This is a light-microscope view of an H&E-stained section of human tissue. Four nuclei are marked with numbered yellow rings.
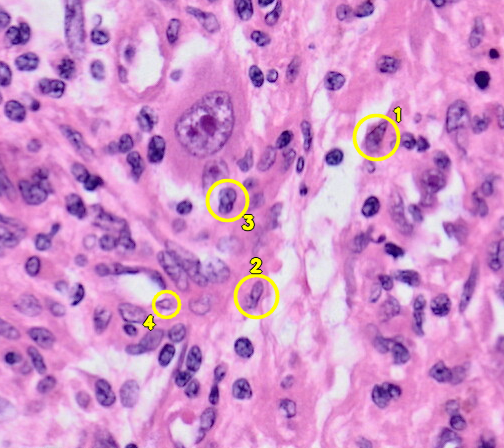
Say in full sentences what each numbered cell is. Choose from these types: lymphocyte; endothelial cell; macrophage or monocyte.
Cell 1 is a macrophage or monocyte, cell 2 is a macrophage or monocyte, cell 3 is a lymphocyte and cell 4 is an endothelial cell.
